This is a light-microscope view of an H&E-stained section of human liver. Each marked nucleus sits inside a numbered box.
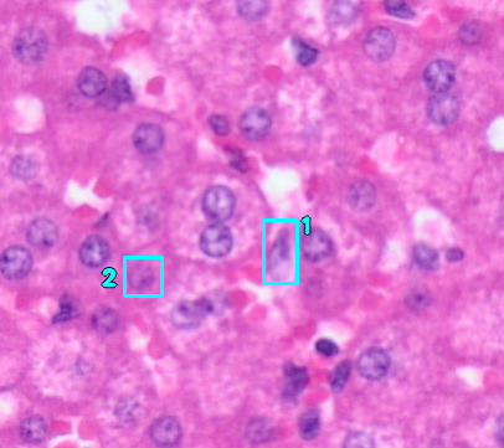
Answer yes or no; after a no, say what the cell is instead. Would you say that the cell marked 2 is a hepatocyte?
Yes.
